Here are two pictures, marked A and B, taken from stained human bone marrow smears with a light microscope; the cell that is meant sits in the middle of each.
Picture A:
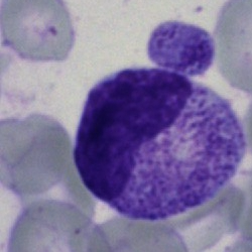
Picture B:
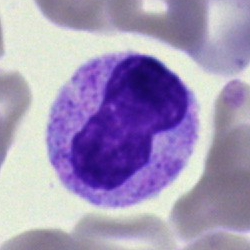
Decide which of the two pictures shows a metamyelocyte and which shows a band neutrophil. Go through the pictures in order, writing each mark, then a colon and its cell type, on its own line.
A: metamyelocyte
B: band neutrophil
